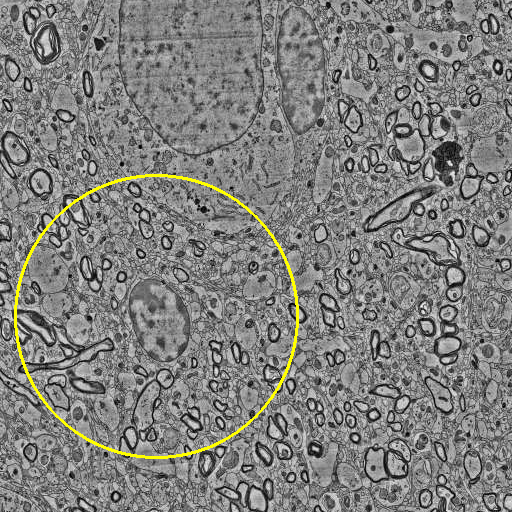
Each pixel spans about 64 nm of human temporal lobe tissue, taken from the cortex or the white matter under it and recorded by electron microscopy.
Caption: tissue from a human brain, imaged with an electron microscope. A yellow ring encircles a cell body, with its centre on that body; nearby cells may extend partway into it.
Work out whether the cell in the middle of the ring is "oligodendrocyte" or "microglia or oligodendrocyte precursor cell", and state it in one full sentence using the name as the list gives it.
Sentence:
In the picture, the cell that the yellow ring surrounds at its centre is a microglial cell or oligodendrocyte precursor cell.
